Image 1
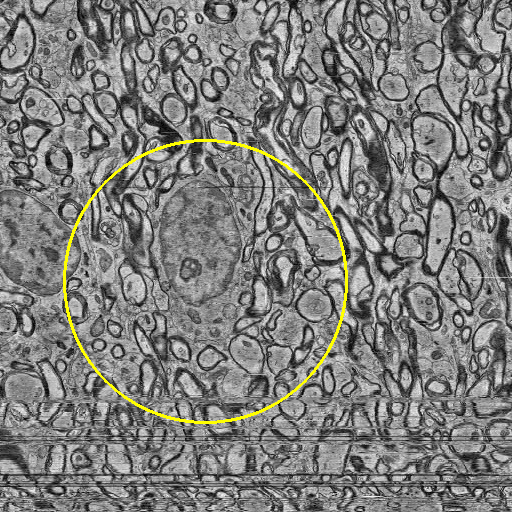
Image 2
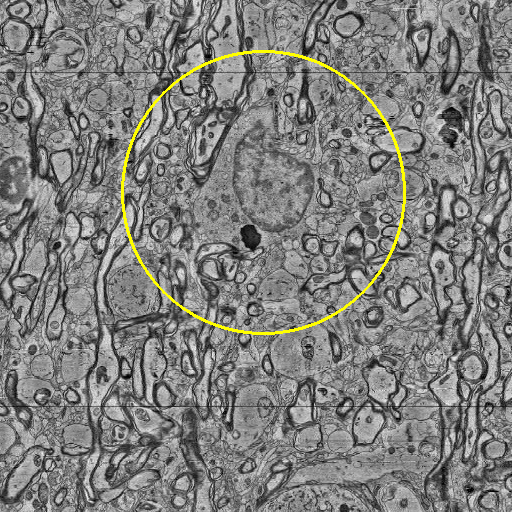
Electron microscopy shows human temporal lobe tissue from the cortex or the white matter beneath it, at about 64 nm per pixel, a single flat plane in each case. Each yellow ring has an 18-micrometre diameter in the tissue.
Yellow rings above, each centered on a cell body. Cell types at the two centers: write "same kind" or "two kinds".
same kind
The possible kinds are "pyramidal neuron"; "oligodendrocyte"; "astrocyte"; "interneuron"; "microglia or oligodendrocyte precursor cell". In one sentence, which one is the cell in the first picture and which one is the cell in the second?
In each picture the ringed cell is an oligodendrocyte.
